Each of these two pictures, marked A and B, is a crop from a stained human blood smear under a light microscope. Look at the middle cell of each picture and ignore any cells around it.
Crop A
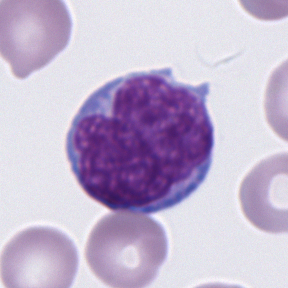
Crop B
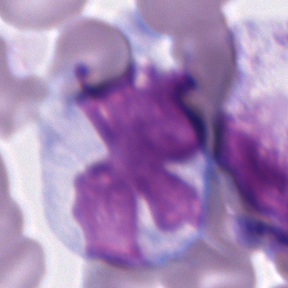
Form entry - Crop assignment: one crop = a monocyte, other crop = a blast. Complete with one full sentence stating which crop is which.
The central cell of crop A is a blast, and that of crop B is a monocyte.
